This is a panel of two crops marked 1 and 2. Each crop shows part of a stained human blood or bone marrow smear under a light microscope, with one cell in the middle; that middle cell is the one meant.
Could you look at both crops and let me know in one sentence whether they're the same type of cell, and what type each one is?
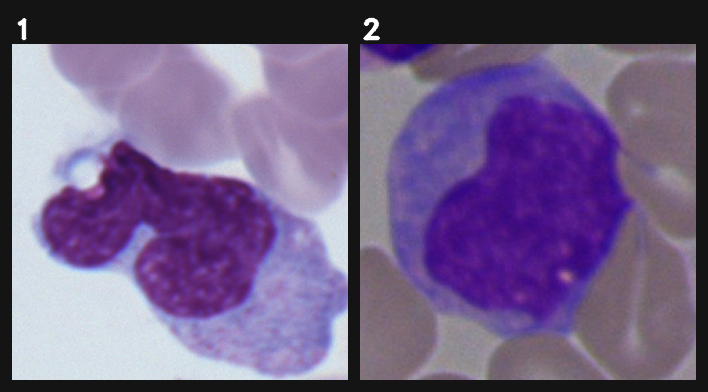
Yes, the cells found in the middle of both crops are monocytes.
